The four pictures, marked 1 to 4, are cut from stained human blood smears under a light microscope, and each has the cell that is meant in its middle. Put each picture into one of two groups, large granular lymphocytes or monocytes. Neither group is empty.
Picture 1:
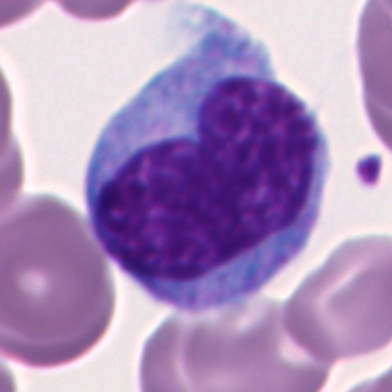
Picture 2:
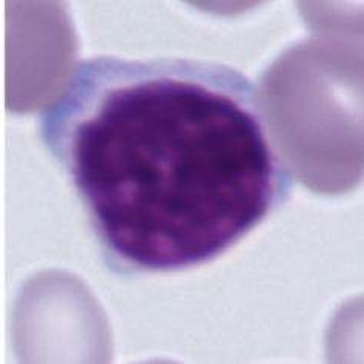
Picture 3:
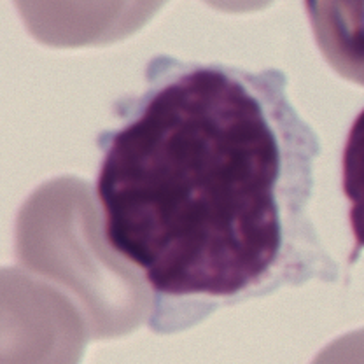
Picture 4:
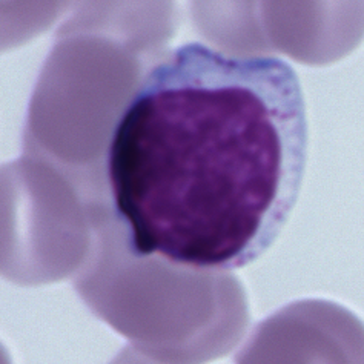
1: monocyte
2: large granular lymphocyte
3: large granular lymphocyte
4: large granular lymphocyte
